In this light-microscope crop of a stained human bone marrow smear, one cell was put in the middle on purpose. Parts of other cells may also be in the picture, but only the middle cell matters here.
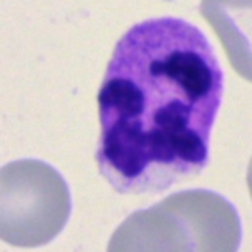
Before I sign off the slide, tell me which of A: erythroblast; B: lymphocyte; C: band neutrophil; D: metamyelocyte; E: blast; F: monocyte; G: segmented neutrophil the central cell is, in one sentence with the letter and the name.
The central cell in this crop is a segmented neutrophil, corresponding to option G, the correct option.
